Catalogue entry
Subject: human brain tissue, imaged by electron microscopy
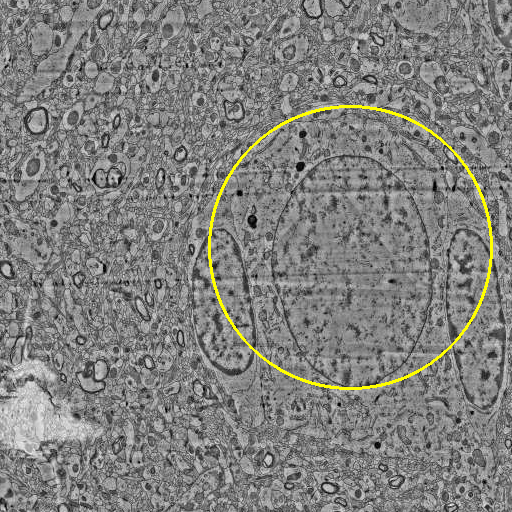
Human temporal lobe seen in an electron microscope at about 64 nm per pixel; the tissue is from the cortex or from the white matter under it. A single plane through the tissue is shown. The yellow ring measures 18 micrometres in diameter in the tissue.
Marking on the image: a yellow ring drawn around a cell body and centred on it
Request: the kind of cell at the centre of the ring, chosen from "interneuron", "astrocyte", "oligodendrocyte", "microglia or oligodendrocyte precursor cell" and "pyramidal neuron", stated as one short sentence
The ring has a pyramidal neuron at its centre.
